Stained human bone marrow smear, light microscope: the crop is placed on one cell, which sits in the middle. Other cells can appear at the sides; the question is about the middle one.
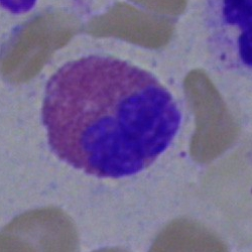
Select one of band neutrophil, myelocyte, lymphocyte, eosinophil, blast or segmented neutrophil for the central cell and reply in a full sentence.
The cell featured at the centre of this crop is an eosinophil.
